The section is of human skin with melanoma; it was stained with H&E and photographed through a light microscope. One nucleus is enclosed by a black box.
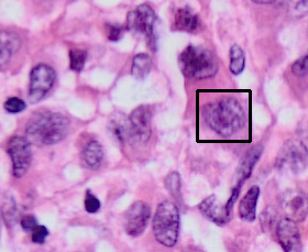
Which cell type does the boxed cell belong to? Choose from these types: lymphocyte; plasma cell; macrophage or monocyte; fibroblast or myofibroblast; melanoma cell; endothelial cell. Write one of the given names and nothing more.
melanoma cell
